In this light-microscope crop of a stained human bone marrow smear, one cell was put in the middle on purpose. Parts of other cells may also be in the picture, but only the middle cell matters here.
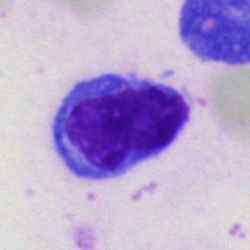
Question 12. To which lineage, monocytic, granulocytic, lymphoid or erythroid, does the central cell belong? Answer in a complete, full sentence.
Assigned to the lymphoid lineage is the cell at the center.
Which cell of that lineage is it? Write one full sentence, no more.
Framed in the middle of the crop is a lymphocyte.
